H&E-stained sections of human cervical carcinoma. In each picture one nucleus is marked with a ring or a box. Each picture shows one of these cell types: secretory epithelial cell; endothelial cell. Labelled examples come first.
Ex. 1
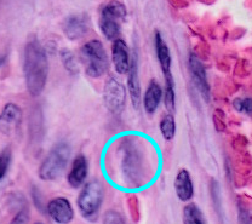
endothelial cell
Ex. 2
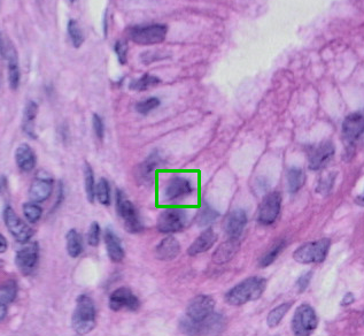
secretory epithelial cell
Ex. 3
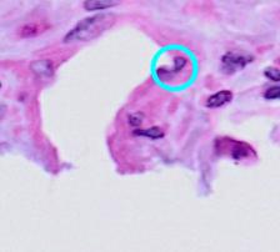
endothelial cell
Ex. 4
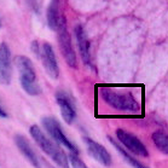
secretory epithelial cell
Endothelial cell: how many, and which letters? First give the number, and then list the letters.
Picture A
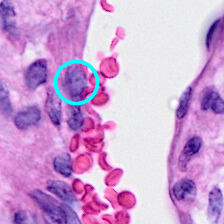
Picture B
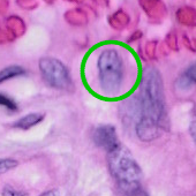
2, namely A, B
